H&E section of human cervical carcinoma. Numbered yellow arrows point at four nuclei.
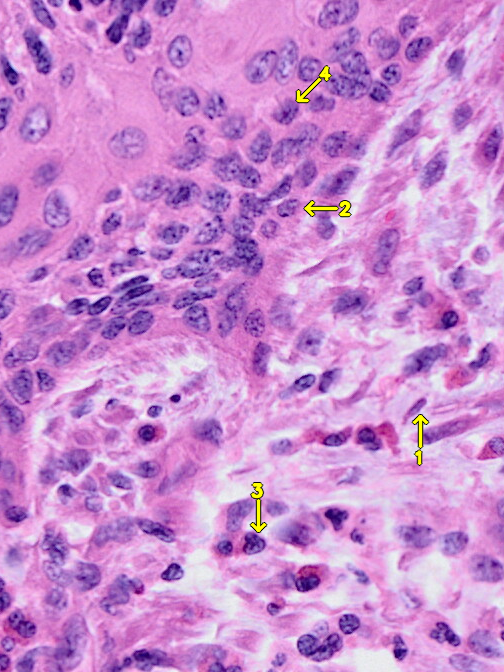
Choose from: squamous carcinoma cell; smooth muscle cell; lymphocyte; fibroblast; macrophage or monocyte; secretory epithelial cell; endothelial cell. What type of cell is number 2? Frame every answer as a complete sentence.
Regarding cell 2, this one is a squamous carcinoma cell.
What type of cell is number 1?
Among the marked nuclei, number 1 belongs to a fibroblast.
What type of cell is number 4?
Cell 4 in the field is a squamous carcinoma cell.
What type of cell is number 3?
Belonging to a lymphocyte is the nucleus that carries the number 3.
